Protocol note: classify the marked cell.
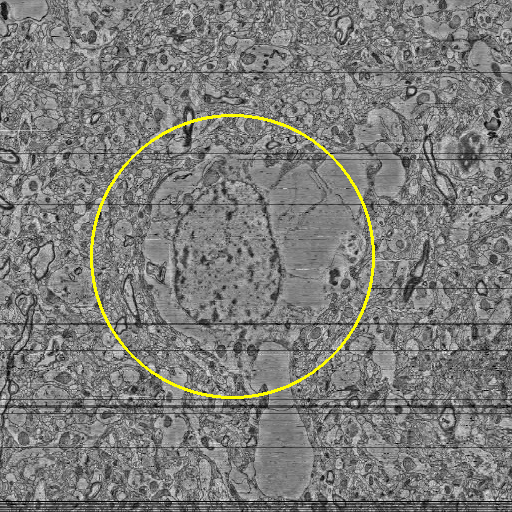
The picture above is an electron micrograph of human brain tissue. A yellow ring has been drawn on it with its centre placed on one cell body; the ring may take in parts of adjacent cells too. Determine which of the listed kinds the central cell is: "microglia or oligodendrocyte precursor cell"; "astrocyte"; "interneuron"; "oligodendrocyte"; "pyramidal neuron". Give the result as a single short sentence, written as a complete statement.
The central cell is an astrocyte.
